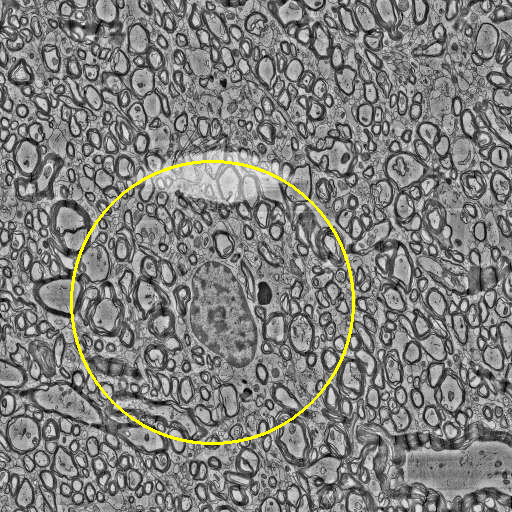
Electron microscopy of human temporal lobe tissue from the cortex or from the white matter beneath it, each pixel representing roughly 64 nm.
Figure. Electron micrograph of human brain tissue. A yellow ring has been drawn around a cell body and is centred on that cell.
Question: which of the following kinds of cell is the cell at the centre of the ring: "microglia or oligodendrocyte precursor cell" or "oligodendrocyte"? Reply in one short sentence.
The cell at the centre of the ring is a microglial cell or oligodendrocyte precursor cell.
